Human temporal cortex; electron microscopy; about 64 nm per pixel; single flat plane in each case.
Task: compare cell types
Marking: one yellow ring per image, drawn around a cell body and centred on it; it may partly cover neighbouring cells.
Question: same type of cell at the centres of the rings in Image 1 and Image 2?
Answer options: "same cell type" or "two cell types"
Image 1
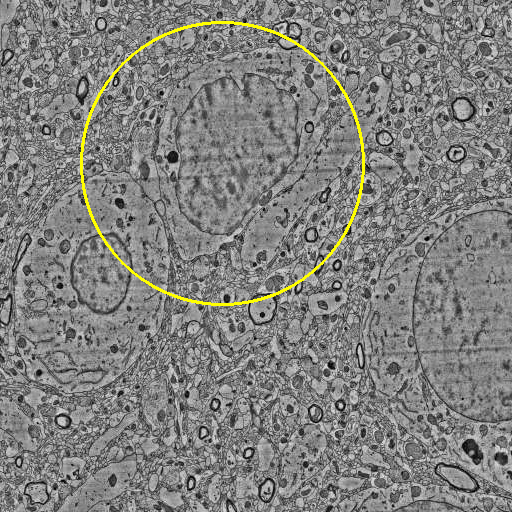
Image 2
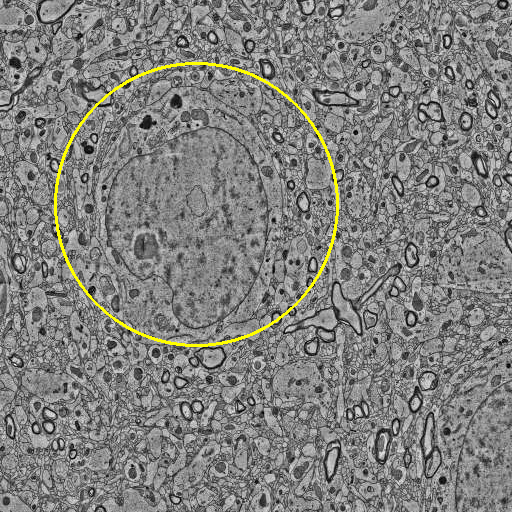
two cell types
